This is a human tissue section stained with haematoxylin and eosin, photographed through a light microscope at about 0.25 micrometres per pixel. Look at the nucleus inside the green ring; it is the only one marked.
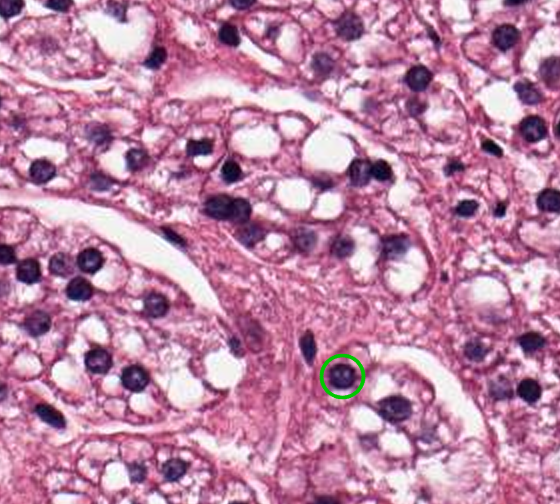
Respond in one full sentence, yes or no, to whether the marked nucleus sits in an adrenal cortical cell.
Yes, the marked nucleus is recognised as belonging to an adrenal cortical cell.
